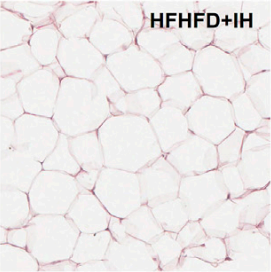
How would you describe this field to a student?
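White adipose tissue made of large, closely packed adipocytes, each a clear unstained vacuole bounded by a thin pink rim. The cells are round to polygonal and fit together in a honeycomb pattern with very little tissue between them. Few nuclei are visible, pressed flat at the edges of the cells.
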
